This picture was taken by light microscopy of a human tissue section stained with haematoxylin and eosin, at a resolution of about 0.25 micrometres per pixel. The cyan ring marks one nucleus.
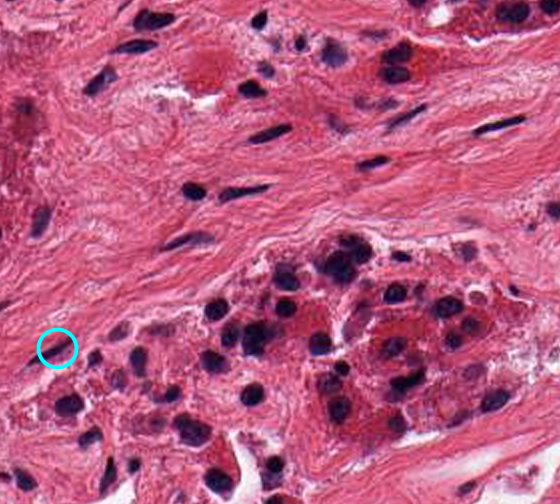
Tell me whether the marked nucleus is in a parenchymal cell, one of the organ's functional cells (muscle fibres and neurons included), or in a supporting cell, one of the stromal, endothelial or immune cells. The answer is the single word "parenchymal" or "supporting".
supporting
